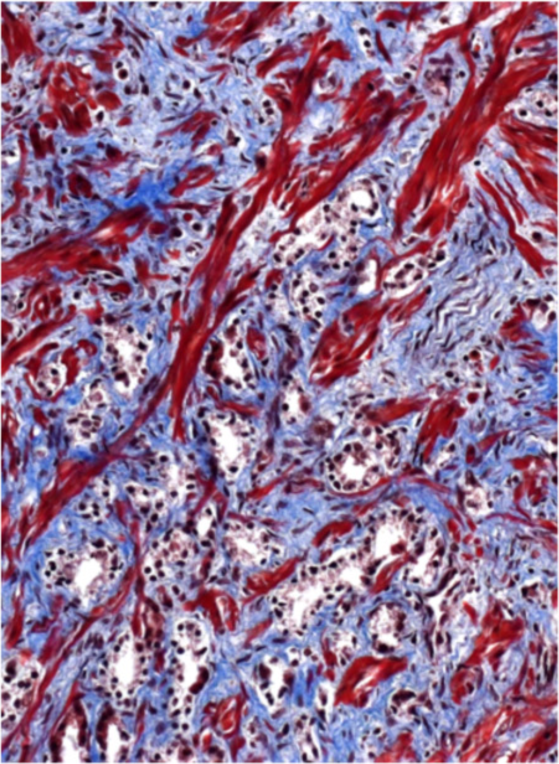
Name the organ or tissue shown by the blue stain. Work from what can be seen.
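Blue-stained fibrous material fills much of the space between the glands. The blue fibres are interwoven with red bundles.
Conclusion: reactive stroma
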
